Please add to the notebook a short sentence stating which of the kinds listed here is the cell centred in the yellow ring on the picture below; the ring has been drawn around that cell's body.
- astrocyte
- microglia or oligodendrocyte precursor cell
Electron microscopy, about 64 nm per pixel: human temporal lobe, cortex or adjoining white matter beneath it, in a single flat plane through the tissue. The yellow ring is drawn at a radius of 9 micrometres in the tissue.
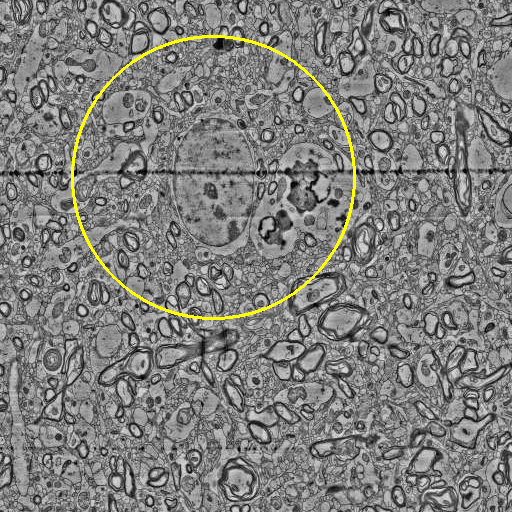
The cell centred in the yellow ring is a microglial cell or oligodendrocyte precursor cell.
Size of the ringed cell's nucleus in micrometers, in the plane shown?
Roughly 8 micrometres by 6 micrometres, in this plane.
